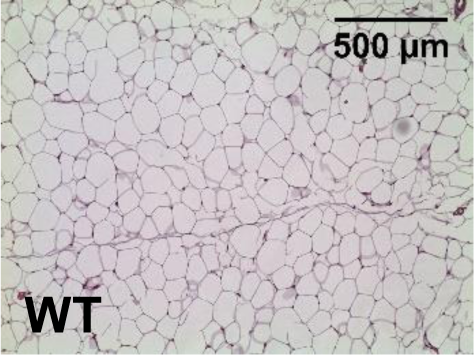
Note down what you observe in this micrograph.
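A field of white fat made of tightly packed adipocytes. The cells vary in size but are mostly moderate, and they fit together like a honeycomb. Dark purple nuclei are few and flattened against the cell borders, and a thin strand of connective tissue runs across the middle of the field.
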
